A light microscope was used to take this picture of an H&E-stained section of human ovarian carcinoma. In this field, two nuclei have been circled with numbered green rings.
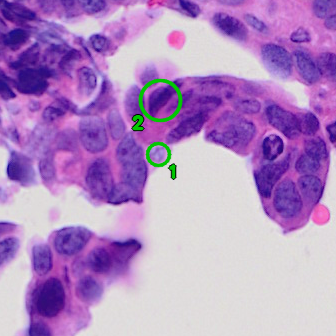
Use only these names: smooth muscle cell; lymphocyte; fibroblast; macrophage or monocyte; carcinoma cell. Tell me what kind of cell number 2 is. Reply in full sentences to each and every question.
The cell identified by number 2 is a carcinoma cell.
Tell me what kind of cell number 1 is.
The correct answer for cell 1 is a macrophage or monocyte.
